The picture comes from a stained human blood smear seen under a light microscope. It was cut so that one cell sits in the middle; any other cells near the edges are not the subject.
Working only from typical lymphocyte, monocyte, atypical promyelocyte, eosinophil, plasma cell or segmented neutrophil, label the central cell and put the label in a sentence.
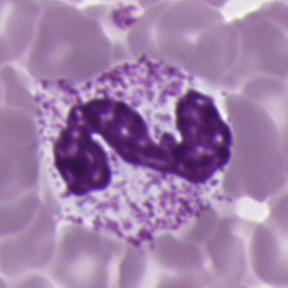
In the middle of this smear crop, the cell is a segmented neutrophil.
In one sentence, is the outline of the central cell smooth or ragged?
Rather than running smoothly, the cell border is ragged or carries projections.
